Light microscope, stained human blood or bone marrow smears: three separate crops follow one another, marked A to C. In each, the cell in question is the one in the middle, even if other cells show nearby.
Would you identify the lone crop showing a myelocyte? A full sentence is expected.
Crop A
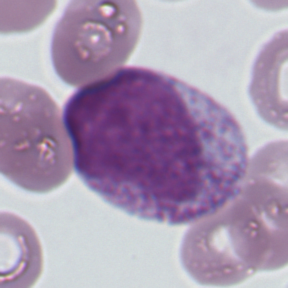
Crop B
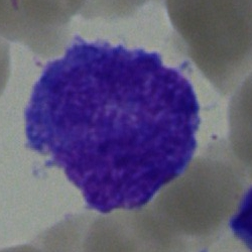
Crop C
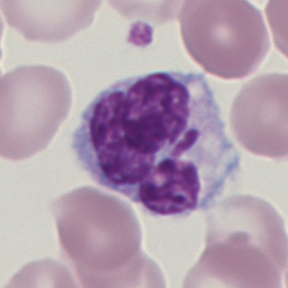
The crop that shows a myelocyte is crop A.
